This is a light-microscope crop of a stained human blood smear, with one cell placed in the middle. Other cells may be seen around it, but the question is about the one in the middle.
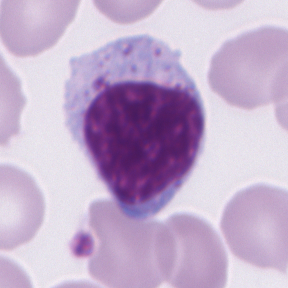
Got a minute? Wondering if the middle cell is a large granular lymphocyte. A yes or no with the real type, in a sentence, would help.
Yes, what sits in the middle of the crop is a large granular lymphocyte.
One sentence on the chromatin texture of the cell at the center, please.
Heads up, the chromatin in this one is coarsely clumped.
